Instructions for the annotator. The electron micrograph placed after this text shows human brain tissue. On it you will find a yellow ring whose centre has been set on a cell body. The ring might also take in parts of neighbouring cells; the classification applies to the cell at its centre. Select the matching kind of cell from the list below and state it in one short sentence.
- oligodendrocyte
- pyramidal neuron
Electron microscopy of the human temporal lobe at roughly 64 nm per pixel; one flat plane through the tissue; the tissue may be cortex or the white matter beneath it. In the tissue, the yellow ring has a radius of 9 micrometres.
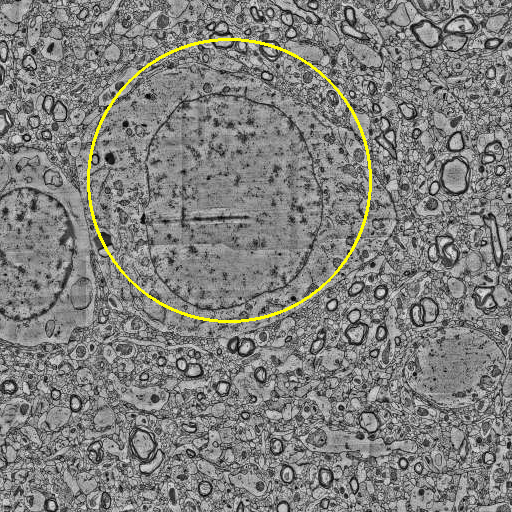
The ring is drawn on the cell body of a pyramidal neuron.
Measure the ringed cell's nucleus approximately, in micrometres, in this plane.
The nucleus appears roughly 14 by 12 micrometres in this plane.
